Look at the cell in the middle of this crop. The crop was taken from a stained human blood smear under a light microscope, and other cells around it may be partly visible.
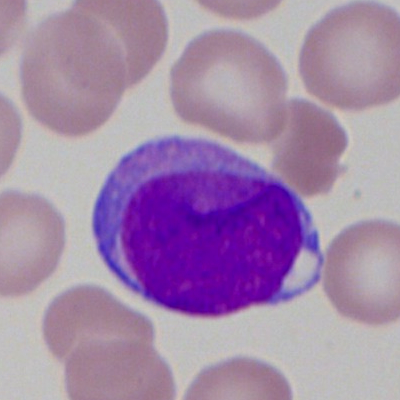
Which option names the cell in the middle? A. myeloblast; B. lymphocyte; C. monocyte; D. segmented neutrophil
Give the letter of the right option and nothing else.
A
